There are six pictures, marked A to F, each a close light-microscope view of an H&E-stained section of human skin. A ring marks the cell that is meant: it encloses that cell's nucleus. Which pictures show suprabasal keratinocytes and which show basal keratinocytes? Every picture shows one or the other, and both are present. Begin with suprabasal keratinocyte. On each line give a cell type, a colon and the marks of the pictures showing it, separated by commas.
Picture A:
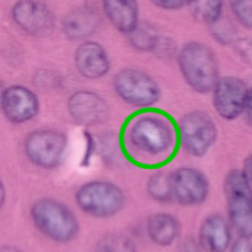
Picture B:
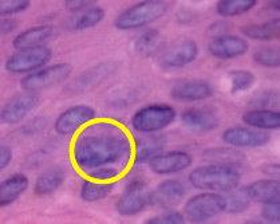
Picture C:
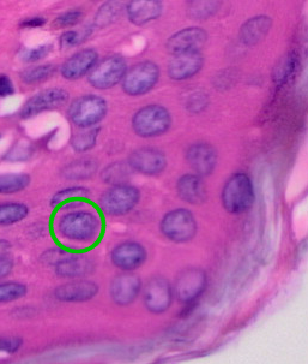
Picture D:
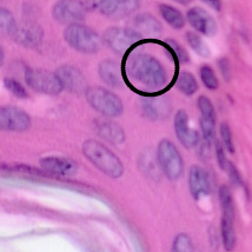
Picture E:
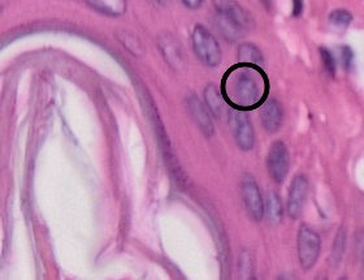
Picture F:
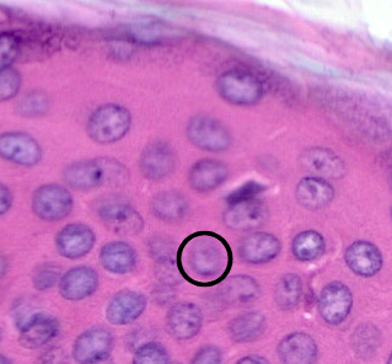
suprabasal keratinocyte: A, C, F
basal keratinocyte: B, D, E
